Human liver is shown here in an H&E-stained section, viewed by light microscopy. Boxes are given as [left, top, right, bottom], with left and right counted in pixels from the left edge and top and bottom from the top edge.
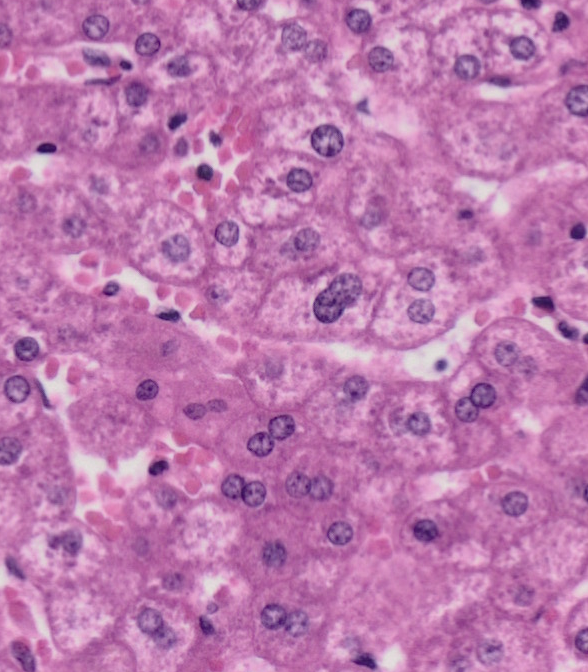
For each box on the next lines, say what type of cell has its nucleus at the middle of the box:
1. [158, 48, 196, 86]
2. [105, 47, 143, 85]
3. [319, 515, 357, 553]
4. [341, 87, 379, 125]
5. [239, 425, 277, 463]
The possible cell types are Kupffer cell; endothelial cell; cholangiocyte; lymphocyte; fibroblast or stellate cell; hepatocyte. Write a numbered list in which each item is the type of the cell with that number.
1. hepatocyte
2. lymphocyte
3. hepatocyte
4. endothelial cell
5. hepatocyte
